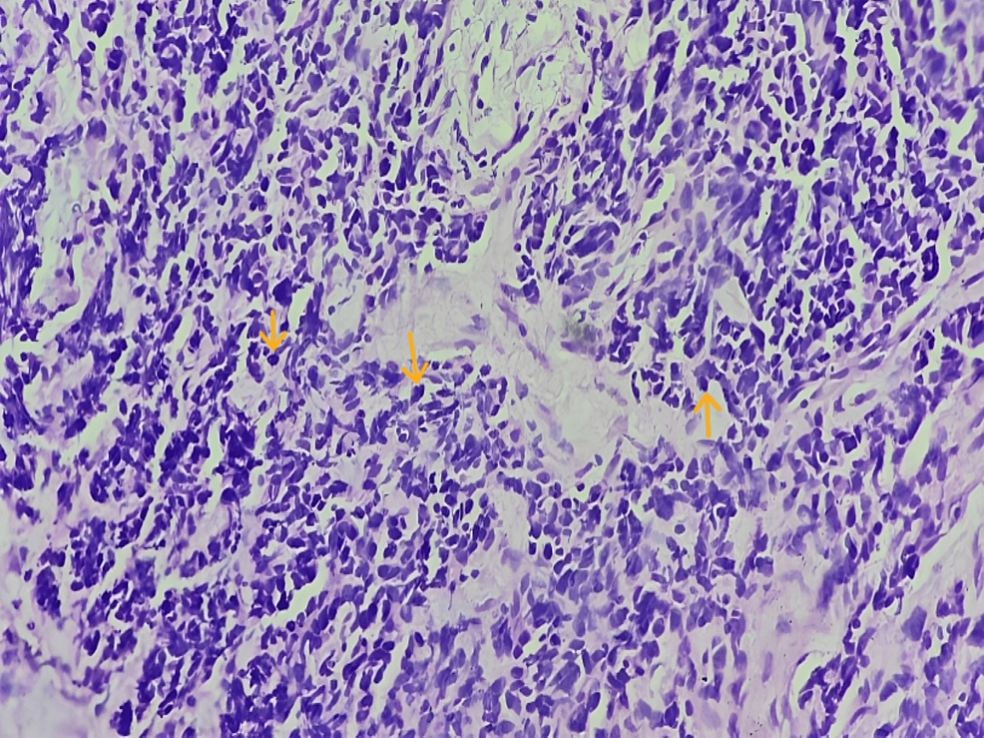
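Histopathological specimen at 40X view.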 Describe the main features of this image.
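This is a densely cellular tissue made up of small-to-medium-sized, fairly uniform cells with round-to-oval, dark purple nuclei and scant pale cytoplasm. The cells are packed into elongated cords and ribbons that run in various directions. Thin, pale, loose strands of stroma separate the cords. A broader band of pale, loosely fibrous stroma runs diagonally through the middle of the field, and the cells crowd closely on either side of it.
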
